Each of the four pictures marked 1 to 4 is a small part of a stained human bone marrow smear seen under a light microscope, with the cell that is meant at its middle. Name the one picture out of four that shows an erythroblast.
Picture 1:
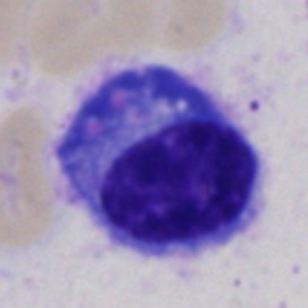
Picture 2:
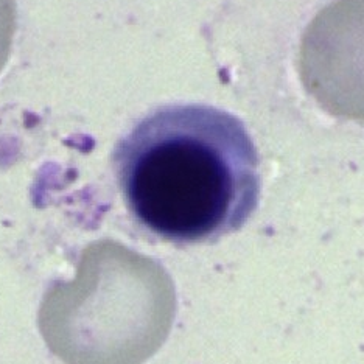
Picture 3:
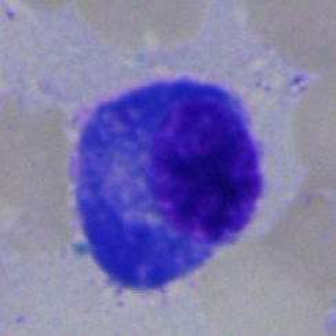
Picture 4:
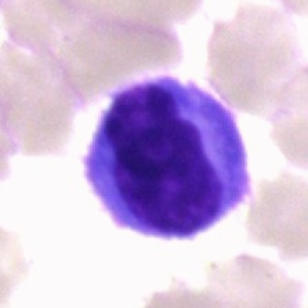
2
